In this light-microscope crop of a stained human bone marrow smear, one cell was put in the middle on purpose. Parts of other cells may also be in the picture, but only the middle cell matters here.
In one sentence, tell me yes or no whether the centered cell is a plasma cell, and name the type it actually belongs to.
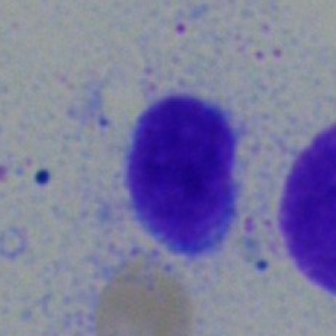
No, that would be a lymphocyte, not a plasma cell, for the cell at the centre.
